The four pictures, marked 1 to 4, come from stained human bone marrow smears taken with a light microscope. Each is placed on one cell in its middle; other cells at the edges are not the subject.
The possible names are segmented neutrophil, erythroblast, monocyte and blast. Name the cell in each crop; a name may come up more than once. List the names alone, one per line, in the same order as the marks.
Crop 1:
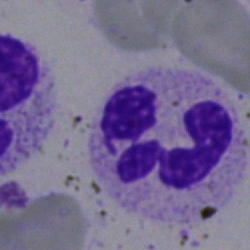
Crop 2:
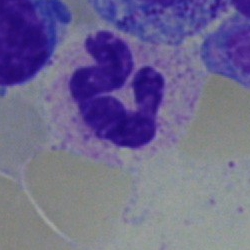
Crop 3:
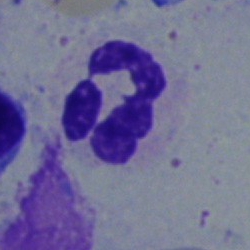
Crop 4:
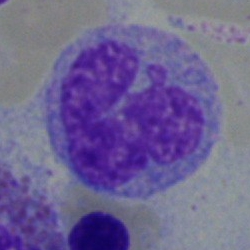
segmented neutrophil
segmented neutrophil
segmented neutrophil
monocyte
